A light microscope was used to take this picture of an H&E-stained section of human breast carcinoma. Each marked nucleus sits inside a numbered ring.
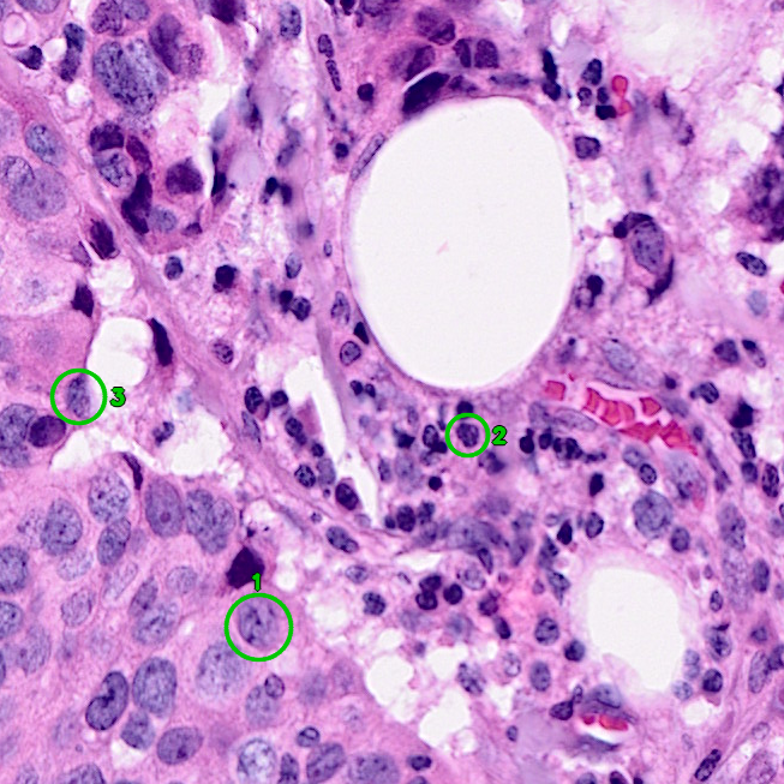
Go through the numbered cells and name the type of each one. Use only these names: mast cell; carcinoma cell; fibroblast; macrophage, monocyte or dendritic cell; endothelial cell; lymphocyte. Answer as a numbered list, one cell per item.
1. carcinoma cell
2. lymphocyte
3. carcinoma cell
